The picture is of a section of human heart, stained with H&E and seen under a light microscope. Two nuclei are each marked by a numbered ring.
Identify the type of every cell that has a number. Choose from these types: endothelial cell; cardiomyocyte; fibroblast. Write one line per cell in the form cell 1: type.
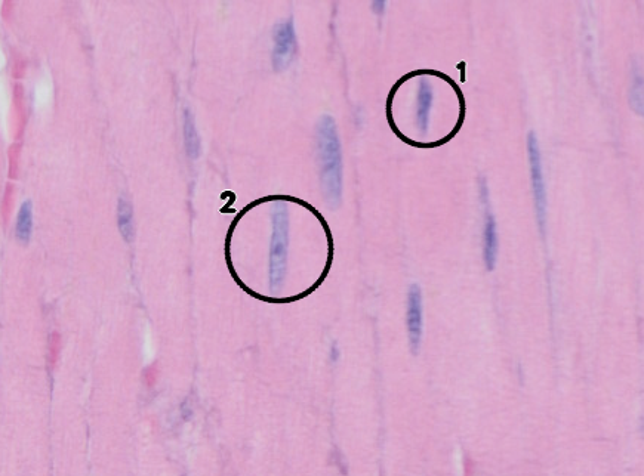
cell 1: endothelial cell
cell 2: cardiomyocyte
